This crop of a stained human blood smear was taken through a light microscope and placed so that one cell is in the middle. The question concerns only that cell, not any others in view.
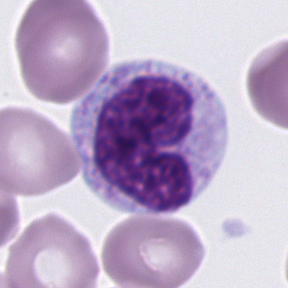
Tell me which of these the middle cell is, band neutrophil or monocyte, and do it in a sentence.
At the middle of the frame sits a band neutrophil.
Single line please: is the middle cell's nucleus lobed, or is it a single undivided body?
Just one compact nuclear mass here, round, oval or kidney-shaped.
